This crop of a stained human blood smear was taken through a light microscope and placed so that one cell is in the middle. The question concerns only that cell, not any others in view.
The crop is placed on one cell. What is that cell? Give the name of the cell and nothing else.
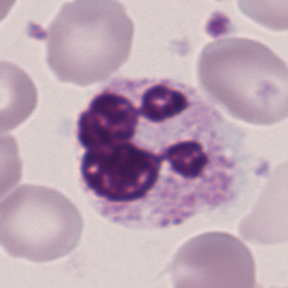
segmented neutrophil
